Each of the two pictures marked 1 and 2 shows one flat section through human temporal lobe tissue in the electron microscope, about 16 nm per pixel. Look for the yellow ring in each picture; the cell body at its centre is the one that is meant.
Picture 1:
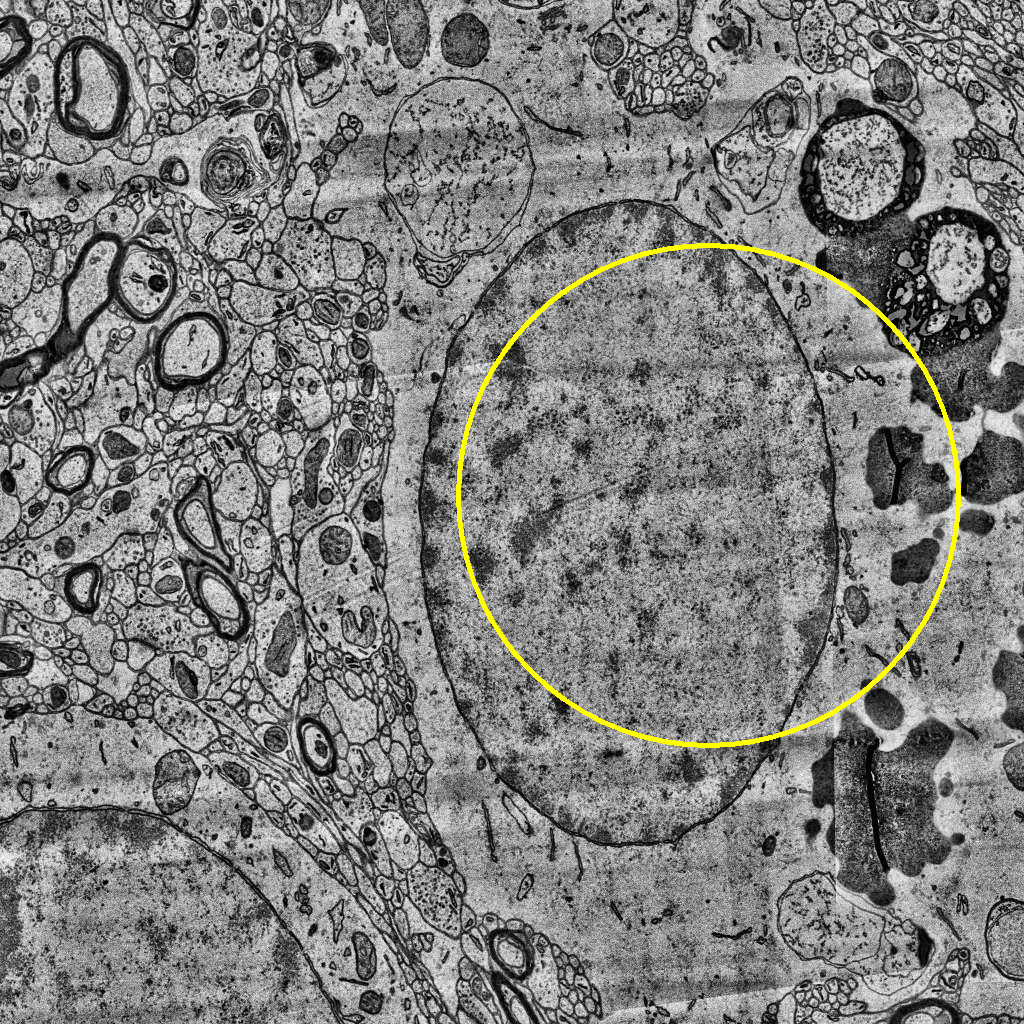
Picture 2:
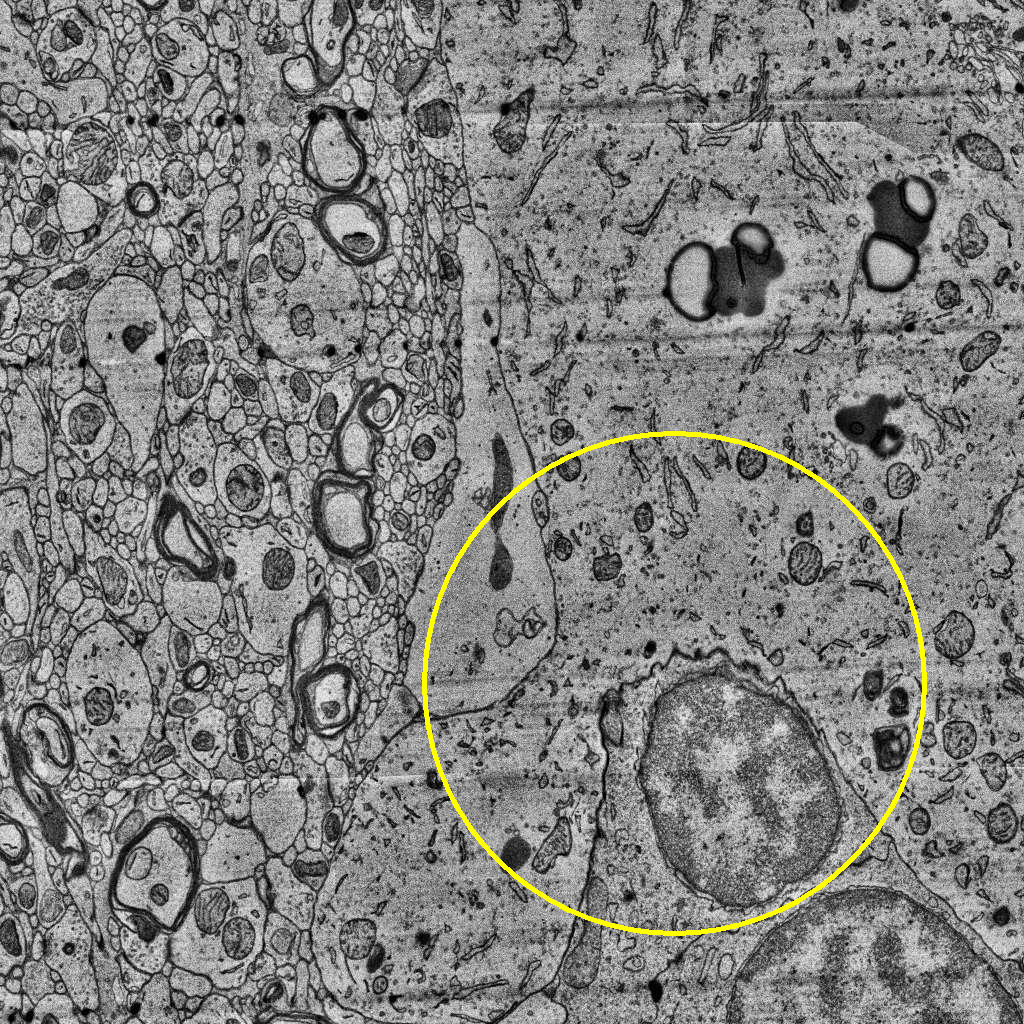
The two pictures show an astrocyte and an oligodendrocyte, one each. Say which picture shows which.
Picture 2 shows an oligodendrocyte, while picture 1 shows an astrocyte.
